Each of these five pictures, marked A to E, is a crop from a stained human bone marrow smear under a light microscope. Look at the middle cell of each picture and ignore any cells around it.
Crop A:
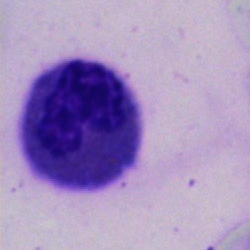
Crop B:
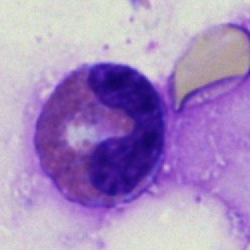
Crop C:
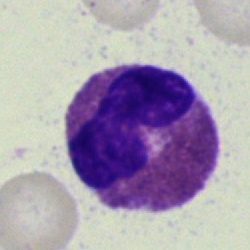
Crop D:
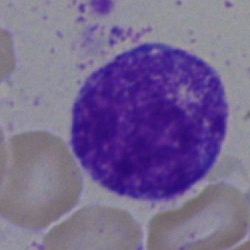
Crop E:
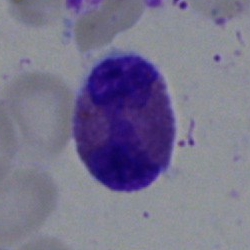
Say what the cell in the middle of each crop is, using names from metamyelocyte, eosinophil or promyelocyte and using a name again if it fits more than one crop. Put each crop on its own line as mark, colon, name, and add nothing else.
A: eosinophil
B: eosinophil
C: eosinophil
D: metamyelocyte
E: eosinophil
